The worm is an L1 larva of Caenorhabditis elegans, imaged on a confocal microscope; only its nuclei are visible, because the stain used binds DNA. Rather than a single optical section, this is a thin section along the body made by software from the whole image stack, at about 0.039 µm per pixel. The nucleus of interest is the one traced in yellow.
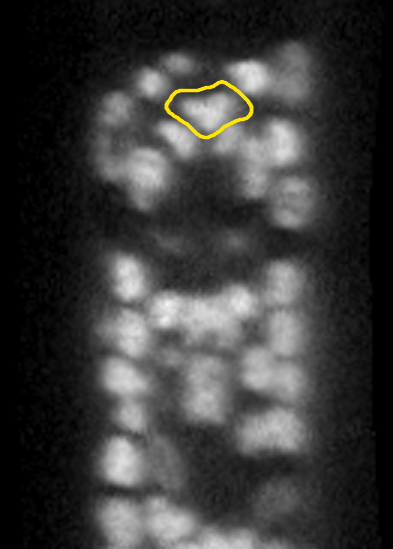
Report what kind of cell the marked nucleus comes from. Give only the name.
pharyngeal muscle cell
